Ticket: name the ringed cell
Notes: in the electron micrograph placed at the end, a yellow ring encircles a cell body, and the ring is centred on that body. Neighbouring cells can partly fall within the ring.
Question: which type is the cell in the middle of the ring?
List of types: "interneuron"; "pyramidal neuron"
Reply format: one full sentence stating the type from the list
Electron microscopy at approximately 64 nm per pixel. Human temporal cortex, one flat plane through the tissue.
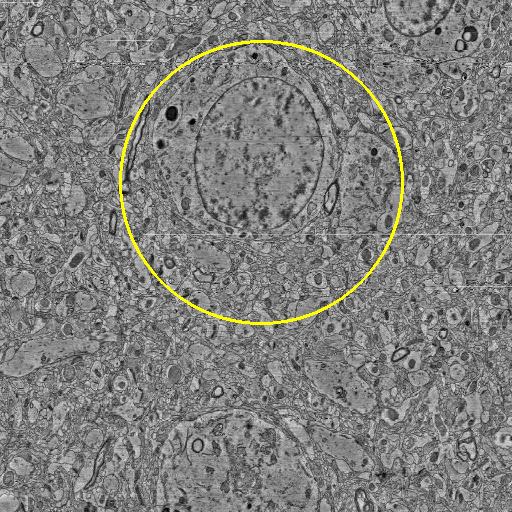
The cell sitting at the centre of the yellow ring is a pyramidal neuron.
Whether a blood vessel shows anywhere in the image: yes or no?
No, there is none.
